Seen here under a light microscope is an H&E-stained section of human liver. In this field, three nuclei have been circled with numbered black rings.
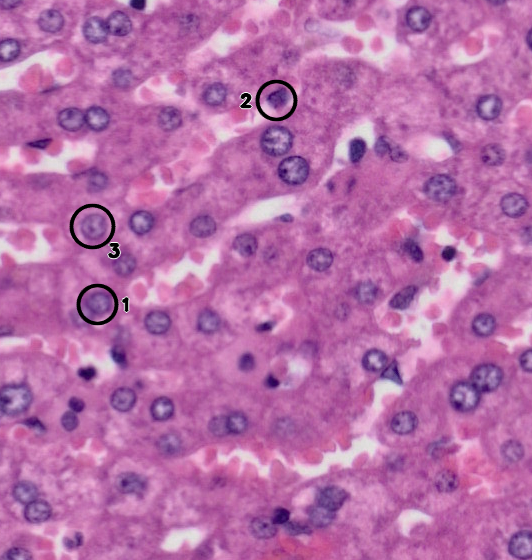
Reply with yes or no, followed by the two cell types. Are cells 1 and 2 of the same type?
No, cell 1 is a hepatocyte and cell 2 is an endothelial cell.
